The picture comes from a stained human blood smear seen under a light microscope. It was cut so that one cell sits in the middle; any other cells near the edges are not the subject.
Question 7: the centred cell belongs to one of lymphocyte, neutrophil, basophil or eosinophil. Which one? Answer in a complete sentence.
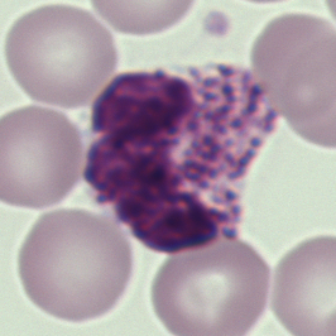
The centrally located cell in the crop is a basophil.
